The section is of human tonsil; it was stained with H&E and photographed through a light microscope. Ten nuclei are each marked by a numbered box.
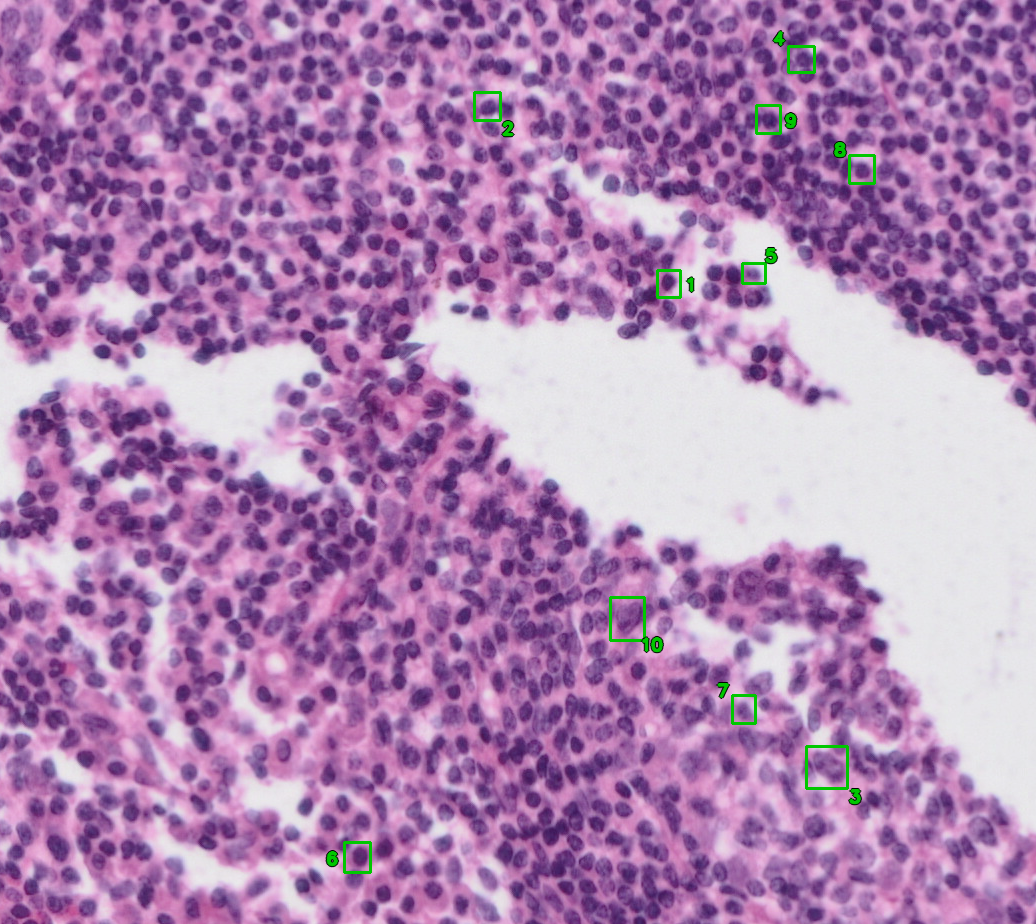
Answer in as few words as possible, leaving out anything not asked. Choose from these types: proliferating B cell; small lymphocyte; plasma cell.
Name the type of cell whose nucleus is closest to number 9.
small lymphocyte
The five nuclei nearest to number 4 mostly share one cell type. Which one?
small lymphocyte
